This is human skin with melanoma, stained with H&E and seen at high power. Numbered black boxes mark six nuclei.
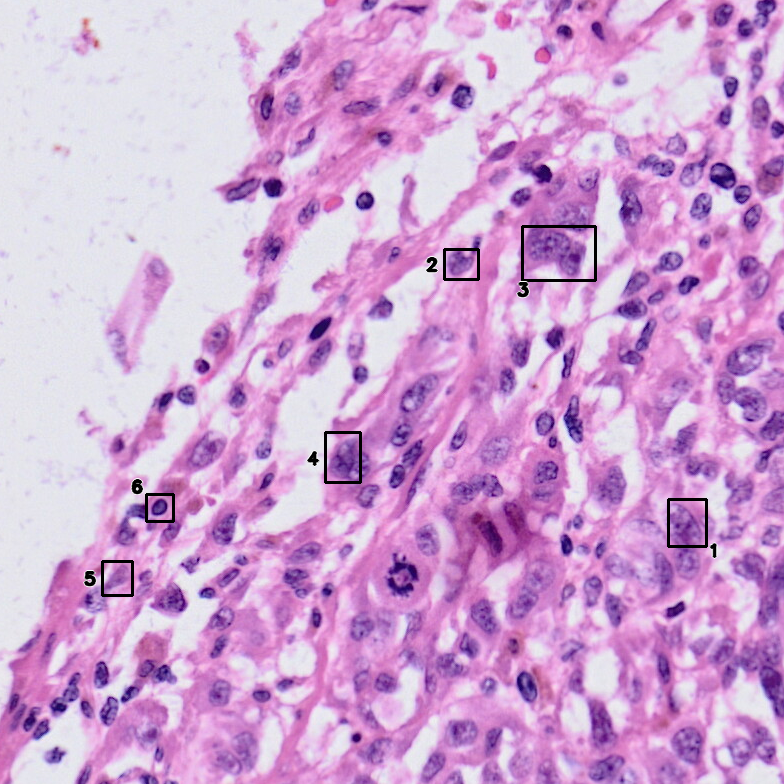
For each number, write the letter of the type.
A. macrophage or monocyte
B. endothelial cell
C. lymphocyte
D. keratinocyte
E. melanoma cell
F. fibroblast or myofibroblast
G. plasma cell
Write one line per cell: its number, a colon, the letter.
1: E
2: A
3: E
4: E
5: F
6: C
